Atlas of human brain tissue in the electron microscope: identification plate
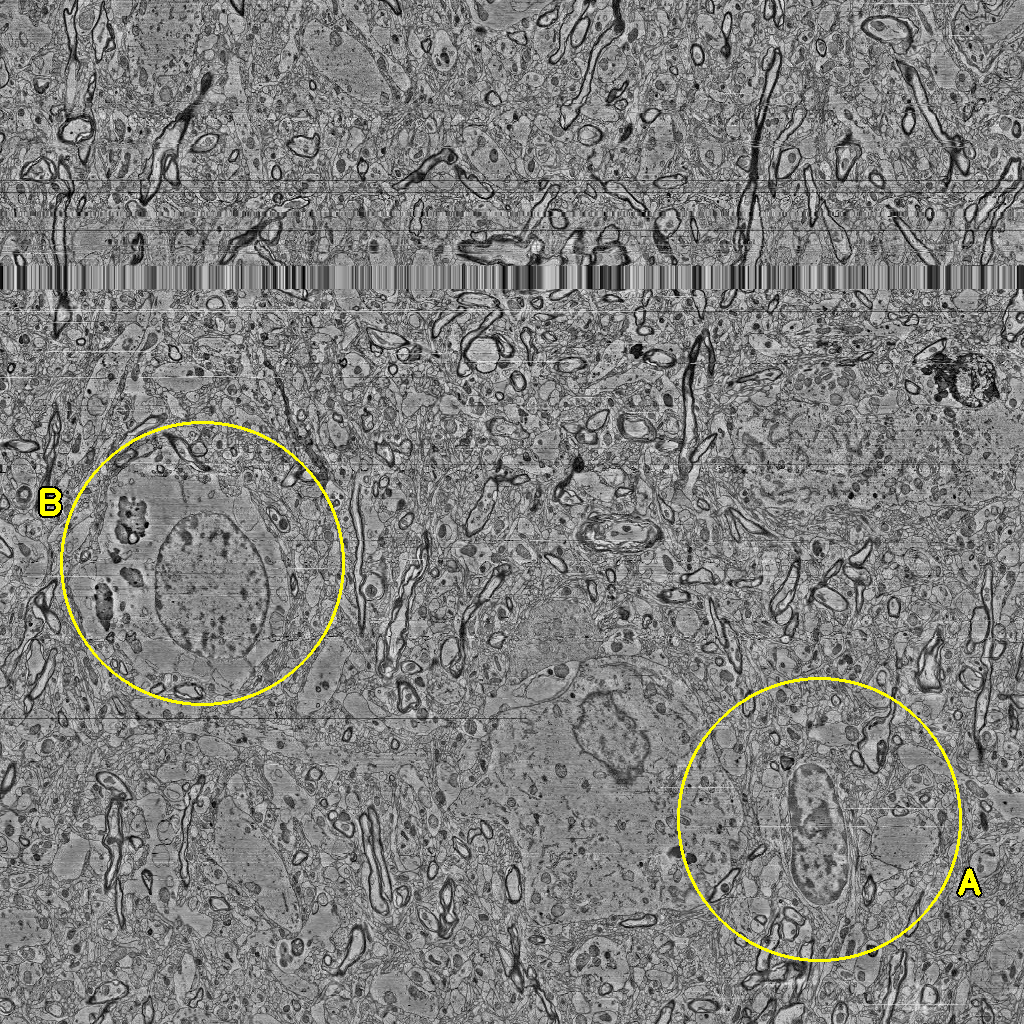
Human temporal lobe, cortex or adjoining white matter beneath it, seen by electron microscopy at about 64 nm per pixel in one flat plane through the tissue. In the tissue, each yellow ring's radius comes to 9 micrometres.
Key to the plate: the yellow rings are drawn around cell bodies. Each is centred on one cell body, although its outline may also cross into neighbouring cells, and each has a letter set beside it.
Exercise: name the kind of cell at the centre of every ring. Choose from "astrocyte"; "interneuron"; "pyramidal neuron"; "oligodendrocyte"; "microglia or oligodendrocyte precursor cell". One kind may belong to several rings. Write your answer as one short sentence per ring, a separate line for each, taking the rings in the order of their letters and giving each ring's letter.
The centre of ring A is occupied by a microglial cell or oligodendrocyte precursor cell.
The centre of ring B is occupied by an astrocyte.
